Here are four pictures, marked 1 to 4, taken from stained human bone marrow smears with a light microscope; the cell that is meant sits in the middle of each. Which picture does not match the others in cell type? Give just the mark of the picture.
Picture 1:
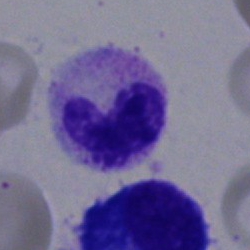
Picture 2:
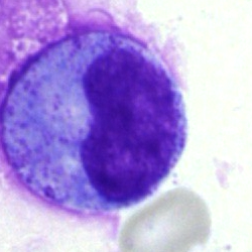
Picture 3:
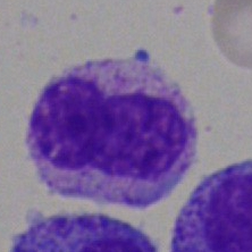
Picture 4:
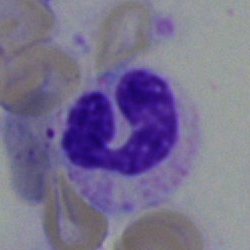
2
